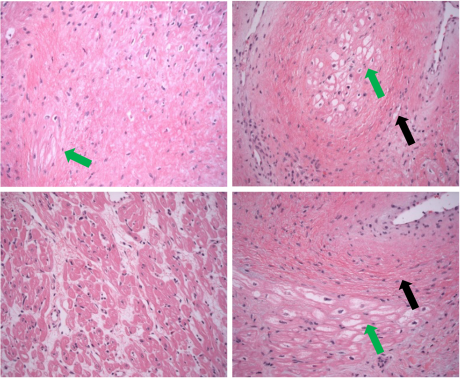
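These are sections of heart muscle, with pink cardiomyocytes running in bundles and purple nuclei. In places the muscle cells are pale and vacuolated, their cytoplasm cleared and largely lost (myocytolysis). Elsewhere, dense, uniformly pink fibrous tissue with scattered small nuclei replaces muscle and borders the cleared cells (fibrotic regions).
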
